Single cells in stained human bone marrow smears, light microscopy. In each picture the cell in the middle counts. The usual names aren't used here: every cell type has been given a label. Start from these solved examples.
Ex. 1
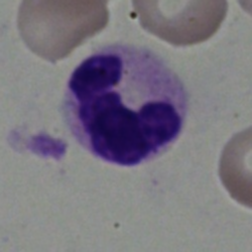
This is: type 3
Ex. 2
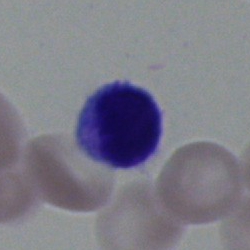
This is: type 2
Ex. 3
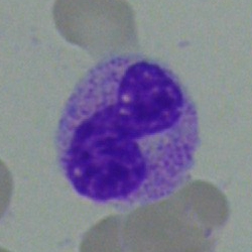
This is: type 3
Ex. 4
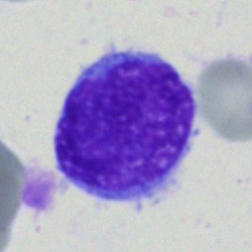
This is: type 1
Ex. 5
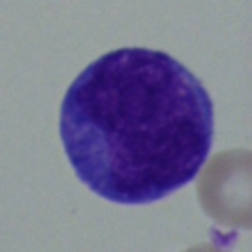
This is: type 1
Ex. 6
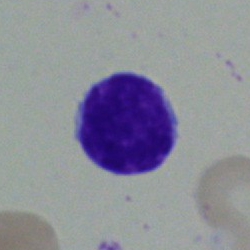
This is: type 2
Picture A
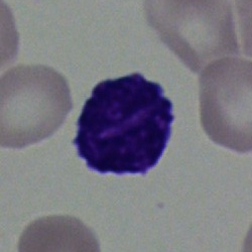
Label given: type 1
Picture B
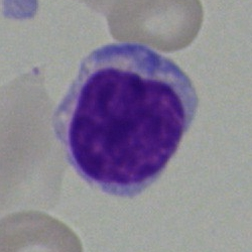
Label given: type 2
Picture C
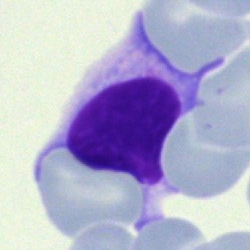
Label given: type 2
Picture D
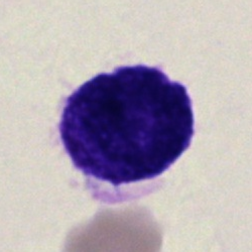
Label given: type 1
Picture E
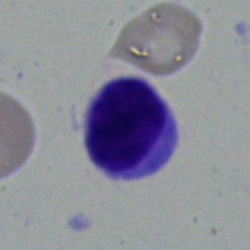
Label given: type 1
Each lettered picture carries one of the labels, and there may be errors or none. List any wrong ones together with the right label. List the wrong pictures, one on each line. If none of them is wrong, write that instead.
E: not type 1 but type 2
